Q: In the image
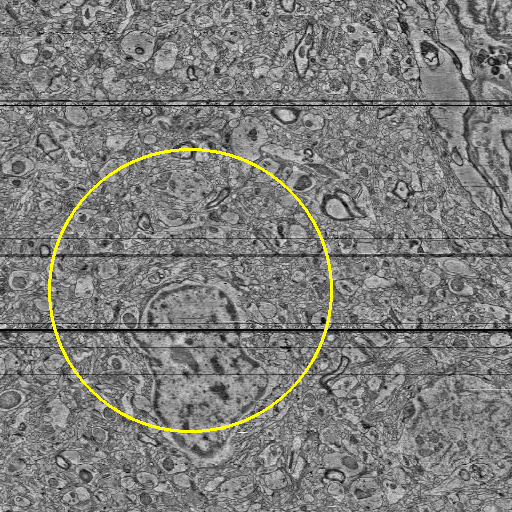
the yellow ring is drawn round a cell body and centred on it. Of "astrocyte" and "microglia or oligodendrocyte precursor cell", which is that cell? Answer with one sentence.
The cell centred in the ring is a microglial cell or oligodendrocyte precursor cell.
